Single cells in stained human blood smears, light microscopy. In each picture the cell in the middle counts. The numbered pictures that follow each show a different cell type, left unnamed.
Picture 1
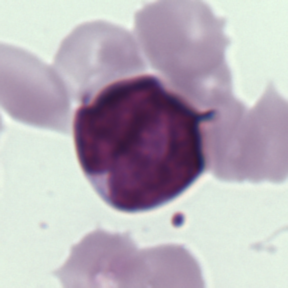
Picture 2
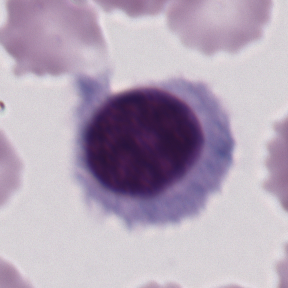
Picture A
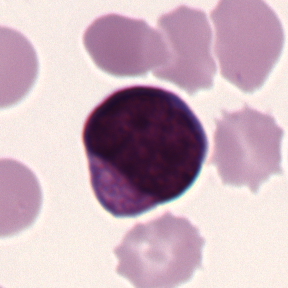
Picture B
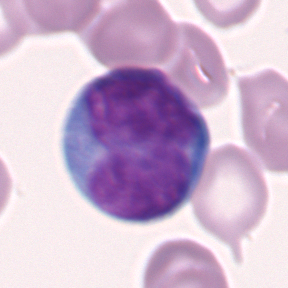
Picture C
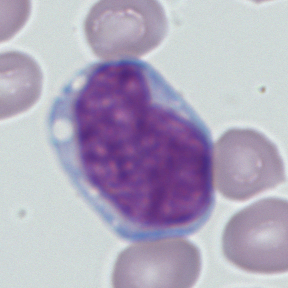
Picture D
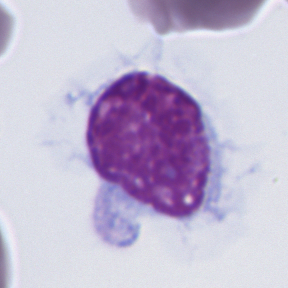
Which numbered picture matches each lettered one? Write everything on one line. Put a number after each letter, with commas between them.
A 1, B 1, C 1, D 2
